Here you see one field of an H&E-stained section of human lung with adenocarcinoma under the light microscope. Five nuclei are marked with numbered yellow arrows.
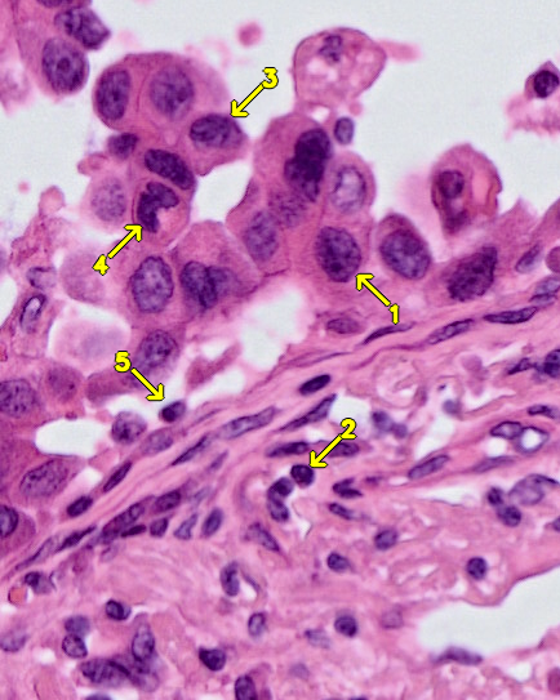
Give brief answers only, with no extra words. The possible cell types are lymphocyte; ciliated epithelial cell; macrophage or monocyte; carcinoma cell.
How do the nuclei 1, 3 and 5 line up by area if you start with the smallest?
5, 3, 1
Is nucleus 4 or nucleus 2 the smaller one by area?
2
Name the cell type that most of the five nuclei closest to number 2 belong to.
lymphocyte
